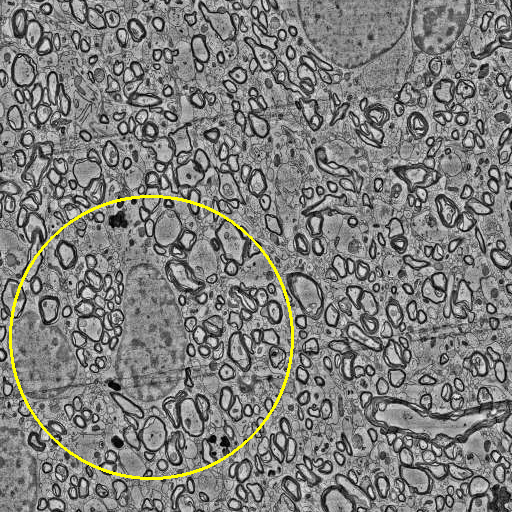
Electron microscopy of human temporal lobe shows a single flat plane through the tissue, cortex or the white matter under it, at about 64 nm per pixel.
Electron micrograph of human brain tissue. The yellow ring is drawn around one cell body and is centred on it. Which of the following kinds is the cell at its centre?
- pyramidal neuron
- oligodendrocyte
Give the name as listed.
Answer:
oligodendrocyte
